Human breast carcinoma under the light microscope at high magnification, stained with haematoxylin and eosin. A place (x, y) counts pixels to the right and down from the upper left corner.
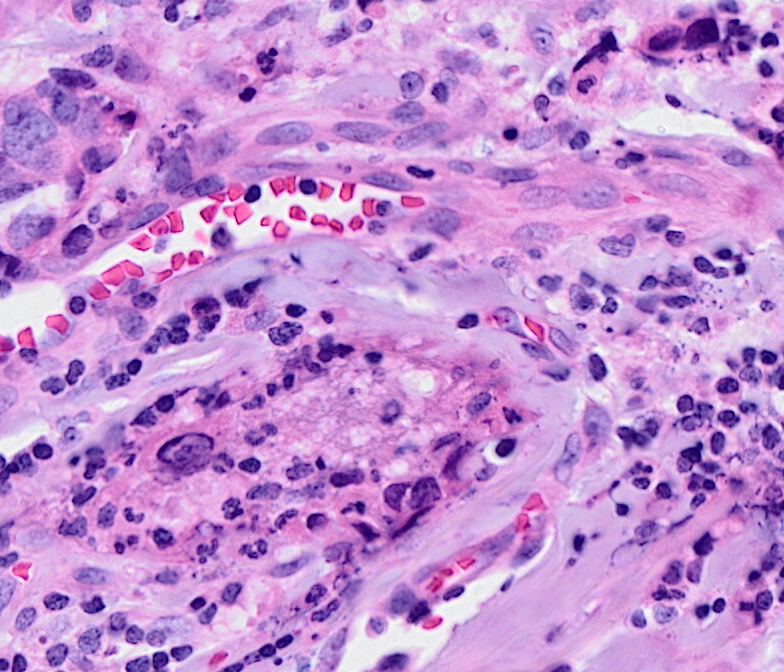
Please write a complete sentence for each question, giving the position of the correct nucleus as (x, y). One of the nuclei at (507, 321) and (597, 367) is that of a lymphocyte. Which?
Of the two nuclei, the one sitting at (597, 367) belongs to a lymphocyte.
